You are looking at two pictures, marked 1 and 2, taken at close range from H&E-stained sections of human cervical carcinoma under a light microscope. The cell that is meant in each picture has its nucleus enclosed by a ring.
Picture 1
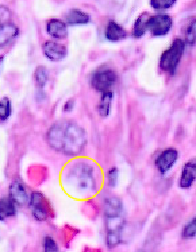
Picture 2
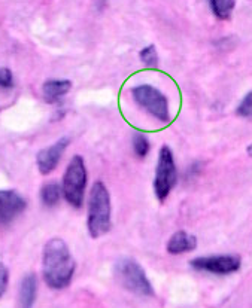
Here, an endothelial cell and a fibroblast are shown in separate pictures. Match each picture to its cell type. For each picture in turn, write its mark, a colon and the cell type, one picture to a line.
1: endothelial cell
2: fibroblast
